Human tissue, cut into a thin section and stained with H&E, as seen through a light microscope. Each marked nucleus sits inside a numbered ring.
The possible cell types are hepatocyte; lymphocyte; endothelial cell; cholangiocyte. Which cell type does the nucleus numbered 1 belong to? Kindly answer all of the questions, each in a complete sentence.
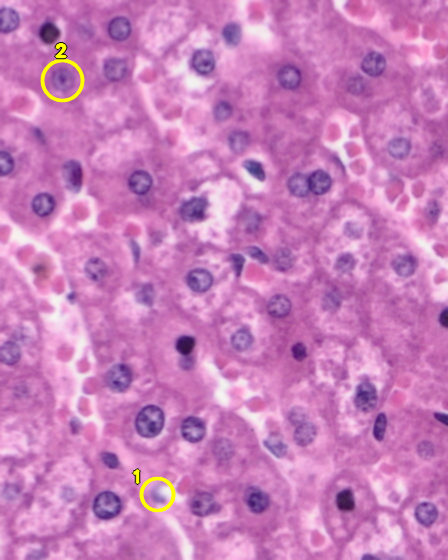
Belonging to an endothelial cell is the nucleus that carries the number 1.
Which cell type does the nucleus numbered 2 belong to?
Cell 2 in the field of view is a hepatocyte.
